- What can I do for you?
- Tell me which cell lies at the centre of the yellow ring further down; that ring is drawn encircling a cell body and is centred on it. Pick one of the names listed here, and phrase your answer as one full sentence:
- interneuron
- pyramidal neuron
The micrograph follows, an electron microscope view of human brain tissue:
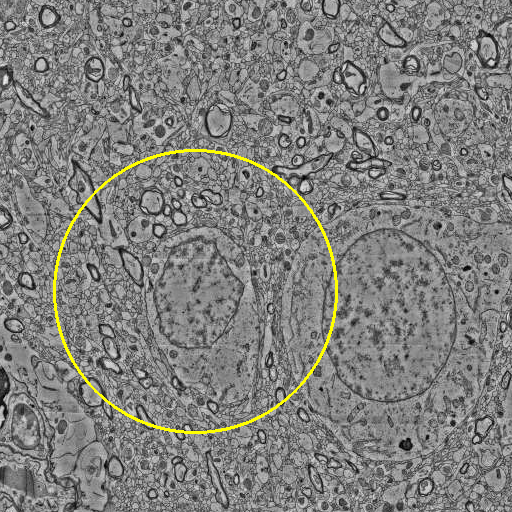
The cell whose body lies at the centre of the yellow ring is a pyramidal neuron.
